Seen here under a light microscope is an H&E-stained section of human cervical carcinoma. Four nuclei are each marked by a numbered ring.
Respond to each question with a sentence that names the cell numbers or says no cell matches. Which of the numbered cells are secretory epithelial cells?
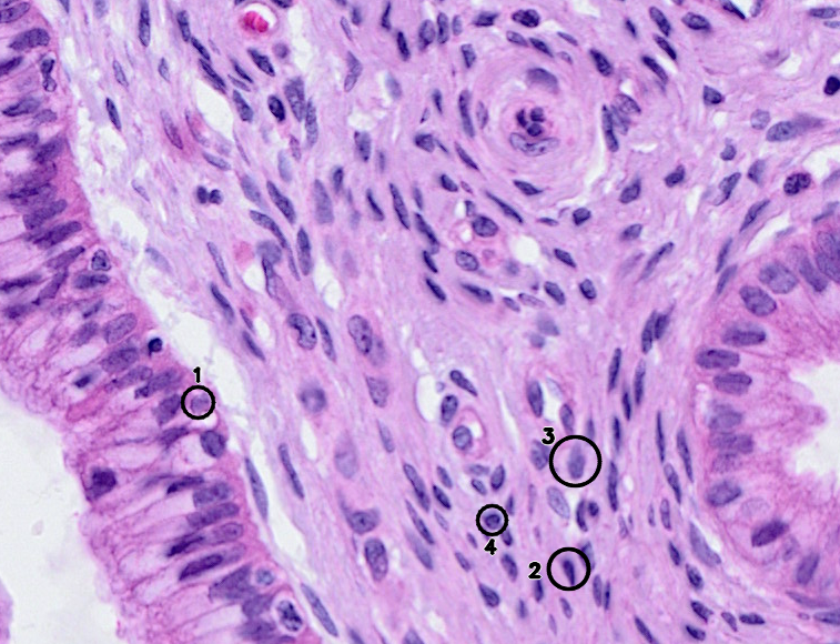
Only the cell with the number 1 is a secretory epithelial cell.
